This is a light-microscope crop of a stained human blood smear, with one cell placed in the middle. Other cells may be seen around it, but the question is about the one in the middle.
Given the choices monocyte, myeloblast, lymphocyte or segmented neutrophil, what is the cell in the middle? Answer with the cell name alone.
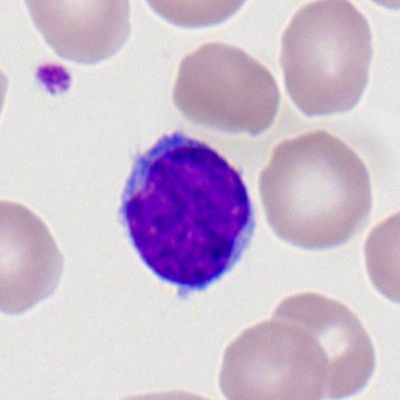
lymphocyte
